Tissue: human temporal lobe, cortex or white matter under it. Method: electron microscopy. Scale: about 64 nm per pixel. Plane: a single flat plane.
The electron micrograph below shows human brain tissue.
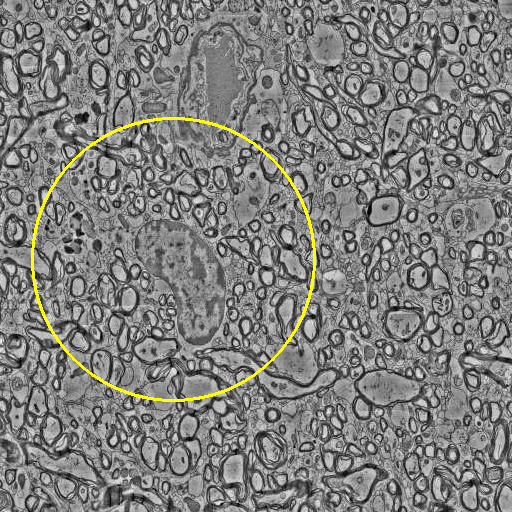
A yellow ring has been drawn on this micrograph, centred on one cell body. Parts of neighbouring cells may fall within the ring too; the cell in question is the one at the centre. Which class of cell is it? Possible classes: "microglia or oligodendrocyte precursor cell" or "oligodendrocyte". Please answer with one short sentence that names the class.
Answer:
In the centre of the ring sits a microglial cell or oligodendrocyte precursor cell.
